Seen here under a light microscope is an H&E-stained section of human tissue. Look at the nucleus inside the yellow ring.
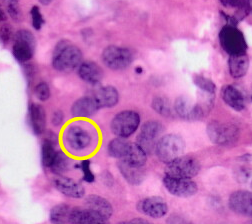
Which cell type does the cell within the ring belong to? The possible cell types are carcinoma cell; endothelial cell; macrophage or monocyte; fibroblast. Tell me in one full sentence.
Students should answer that the cell within the ring is a macrophage or monocyte.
